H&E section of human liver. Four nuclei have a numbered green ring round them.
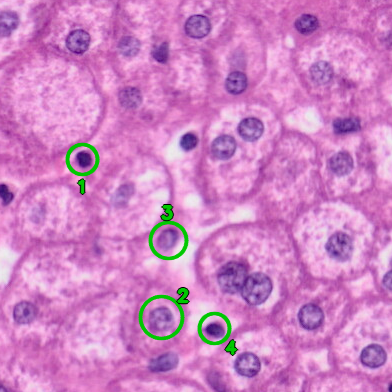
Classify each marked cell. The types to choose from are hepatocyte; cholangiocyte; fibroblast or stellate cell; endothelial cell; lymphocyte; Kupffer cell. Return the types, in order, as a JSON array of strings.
["lymphocyte", "hepatocyte", "Kupffer cell", "lymphocyte"]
